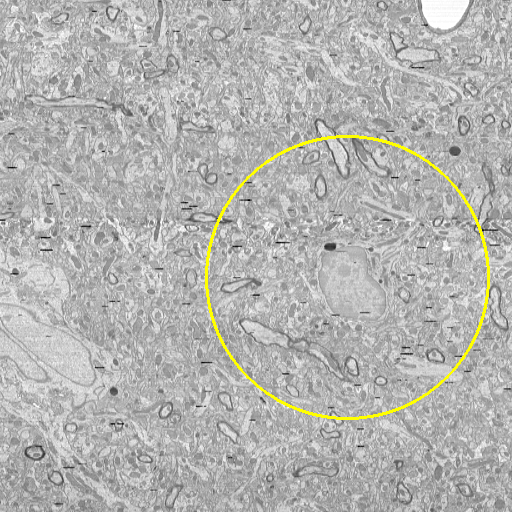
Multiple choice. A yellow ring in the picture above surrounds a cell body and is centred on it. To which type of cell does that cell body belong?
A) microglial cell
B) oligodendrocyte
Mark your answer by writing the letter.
A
